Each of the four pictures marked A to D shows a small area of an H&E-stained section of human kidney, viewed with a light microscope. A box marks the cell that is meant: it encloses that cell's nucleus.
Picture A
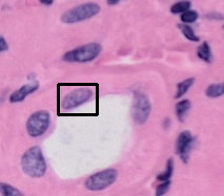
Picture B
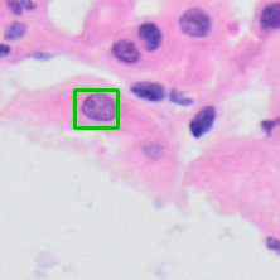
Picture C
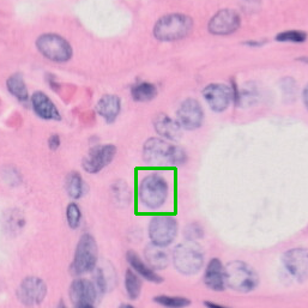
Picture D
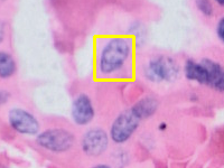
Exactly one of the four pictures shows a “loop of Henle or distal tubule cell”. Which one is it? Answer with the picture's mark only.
A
